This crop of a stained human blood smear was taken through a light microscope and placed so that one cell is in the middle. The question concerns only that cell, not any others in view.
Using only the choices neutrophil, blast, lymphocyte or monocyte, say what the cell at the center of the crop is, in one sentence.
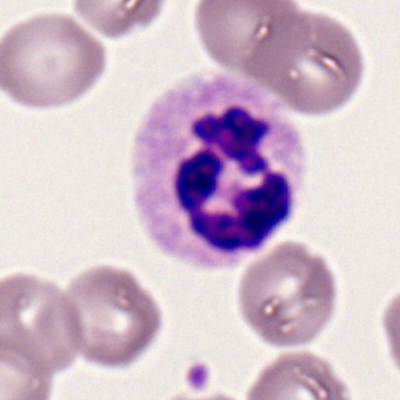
Here the cell in the middle is a neutrophil.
